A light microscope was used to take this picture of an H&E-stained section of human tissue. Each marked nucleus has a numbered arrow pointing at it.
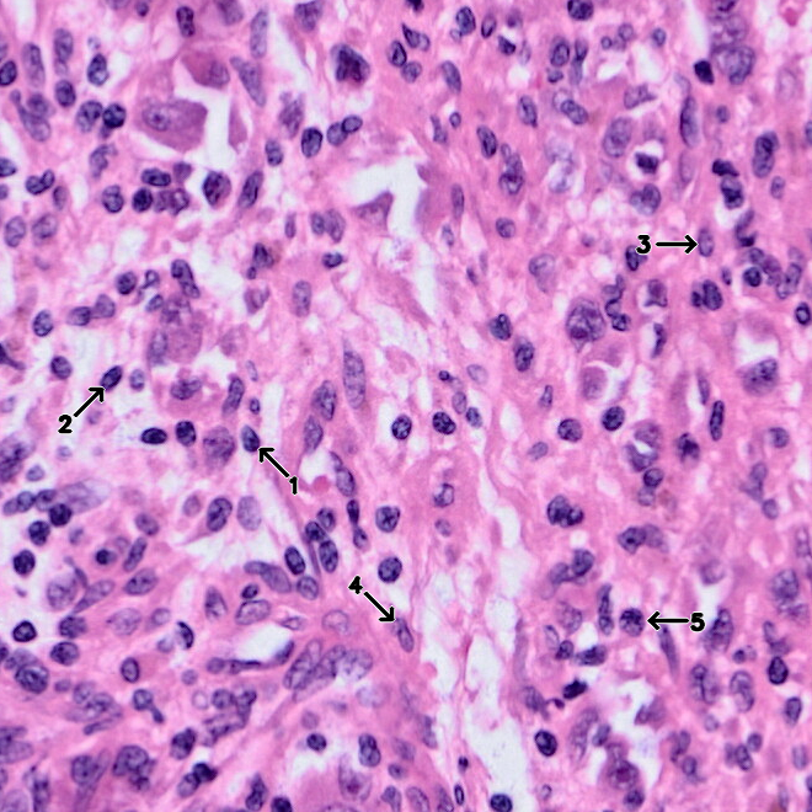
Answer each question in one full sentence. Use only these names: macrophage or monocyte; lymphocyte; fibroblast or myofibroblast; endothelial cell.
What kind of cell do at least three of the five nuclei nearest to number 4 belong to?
The majority of the five nuclei closest to number 4 belong to endothelial cells.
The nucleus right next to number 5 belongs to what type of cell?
It is a fibroblast or myofibroblast whose nucleus is nearest to number 5.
